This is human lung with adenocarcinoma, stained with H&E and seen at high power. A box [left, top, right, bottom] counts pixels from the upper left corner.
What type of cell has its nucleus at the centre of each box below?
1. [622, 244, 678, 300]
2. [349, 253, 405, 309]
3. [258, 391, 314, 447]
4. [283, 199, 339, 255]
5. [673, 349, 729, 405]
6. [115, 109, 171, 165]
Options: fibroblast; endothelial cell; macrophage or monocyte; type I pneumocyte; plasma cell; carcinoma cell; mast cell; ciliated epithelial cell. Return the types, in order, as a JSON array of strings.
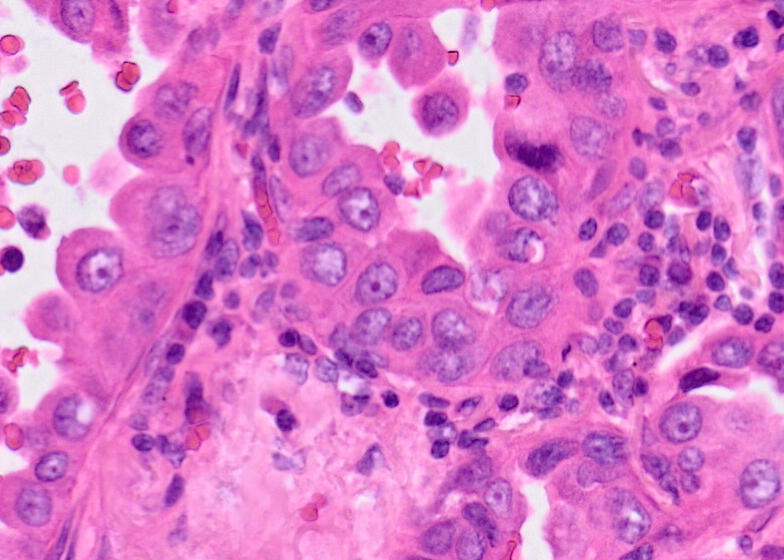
["plasma cell", "carcinoma cell", "plasma cell", "carcinoma cell", "carcinoma cell", "carcinoma cell"]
